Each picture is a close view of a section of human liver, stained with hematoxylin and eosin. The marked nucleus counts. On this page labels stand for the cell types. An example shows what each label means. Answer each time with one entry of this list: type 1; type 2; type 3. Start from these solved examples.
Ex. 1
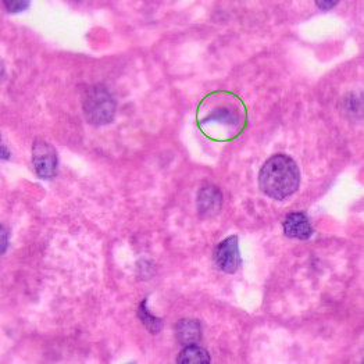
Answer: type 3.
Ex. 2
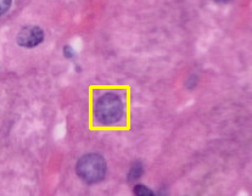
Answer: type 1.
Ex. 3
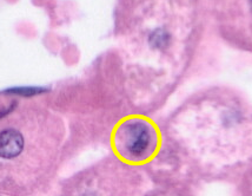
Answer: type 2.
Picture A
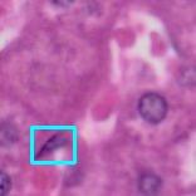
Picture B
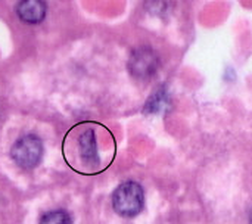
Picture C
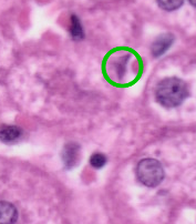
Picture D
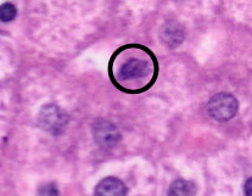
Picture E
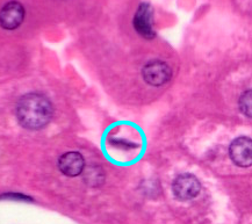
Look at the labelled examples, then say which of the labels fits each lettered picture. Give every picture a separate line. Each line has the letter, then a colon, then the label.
A: type 3.
B: type 3.
C: type 3.
D: type 2.
E: type 3.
